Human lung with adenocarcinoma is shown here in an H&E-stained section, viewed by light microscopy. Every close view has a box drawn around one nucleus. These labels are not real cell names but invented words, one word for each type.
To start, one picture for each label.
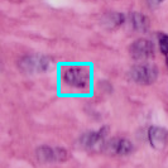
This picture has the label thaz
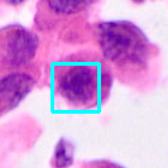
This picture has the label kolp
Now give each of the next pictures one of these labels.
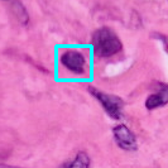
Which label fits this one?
thaz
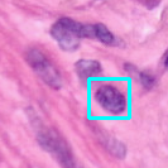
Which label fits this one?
thaz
